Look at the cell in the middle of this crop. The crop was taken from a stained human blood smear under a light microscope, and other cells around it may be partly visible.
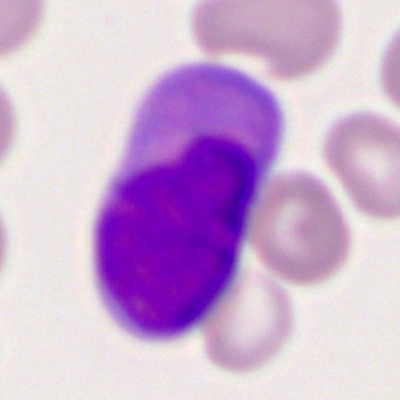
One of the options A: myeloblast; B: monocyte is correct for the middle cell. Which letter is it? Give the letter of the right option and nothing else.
A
